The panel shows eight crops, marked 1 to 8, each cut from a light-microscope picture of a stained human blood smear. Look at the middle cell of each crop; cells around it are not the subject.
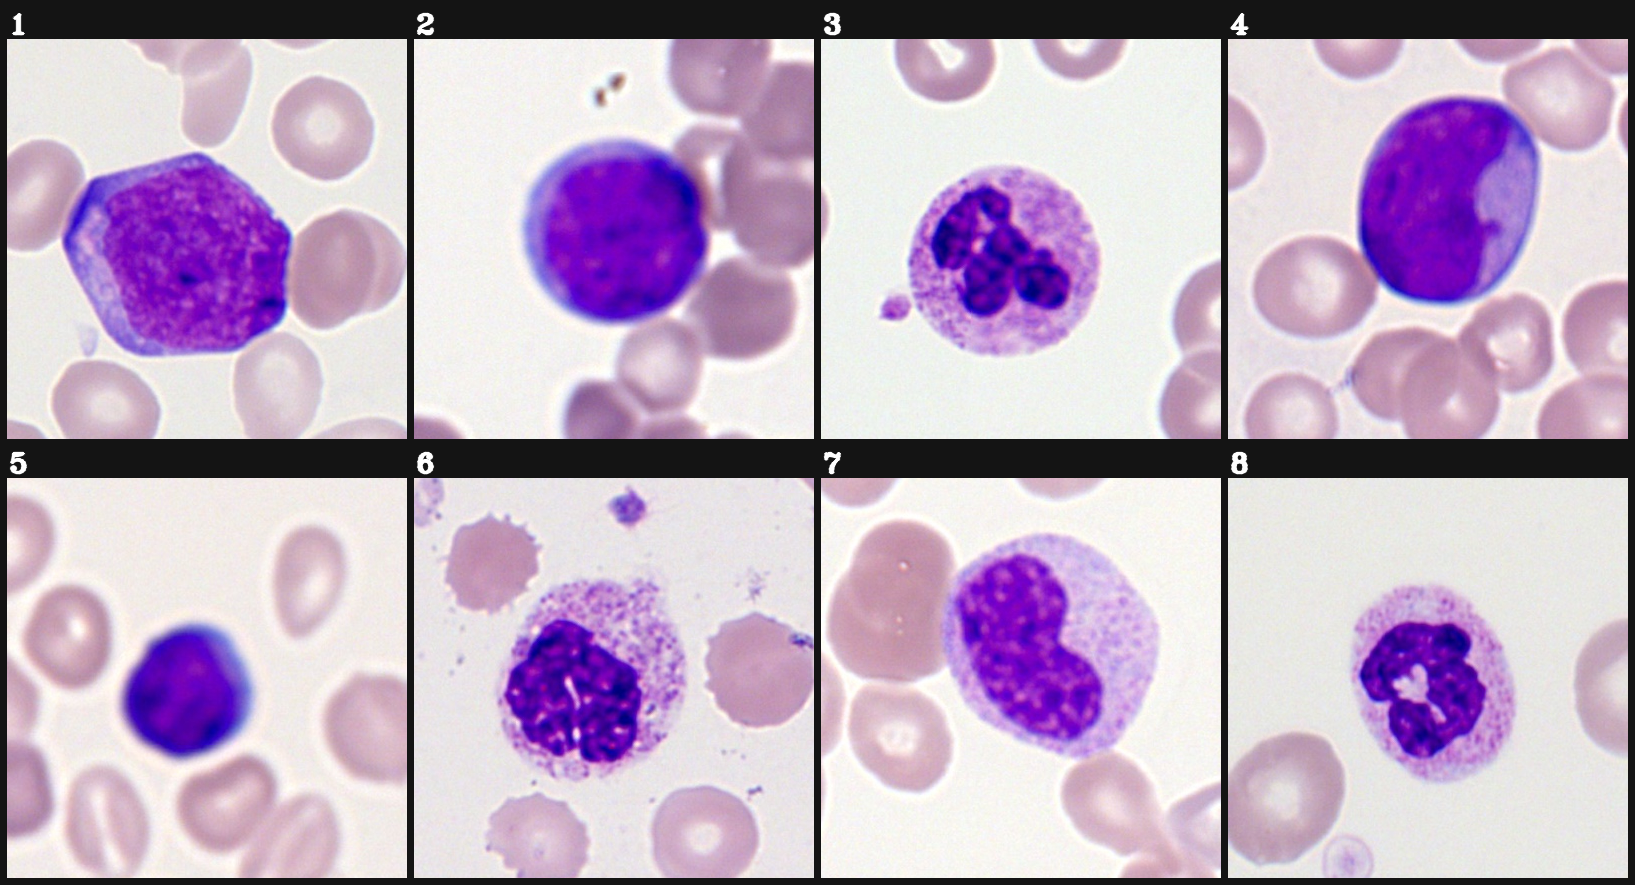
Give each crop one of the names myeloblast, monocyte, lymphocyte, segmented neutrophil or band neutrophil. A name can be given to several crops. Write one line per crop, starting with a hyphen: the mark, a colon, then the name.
- 1: myeloblast
- 2: myeloblast
- 3: segmented neutrophil
- 4: myeloblast
- 5: lymphocyte
- 6: band neutrophil
- 7: band neutrophil
- 8: segmented neutrophil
